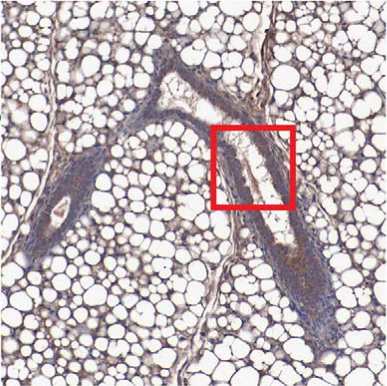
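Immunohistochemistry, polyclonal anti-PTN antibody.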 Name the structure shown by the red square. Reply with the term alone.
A: ductal areas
